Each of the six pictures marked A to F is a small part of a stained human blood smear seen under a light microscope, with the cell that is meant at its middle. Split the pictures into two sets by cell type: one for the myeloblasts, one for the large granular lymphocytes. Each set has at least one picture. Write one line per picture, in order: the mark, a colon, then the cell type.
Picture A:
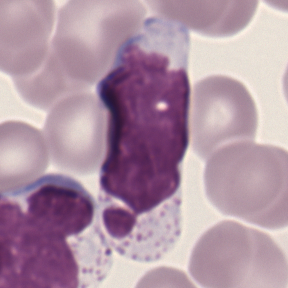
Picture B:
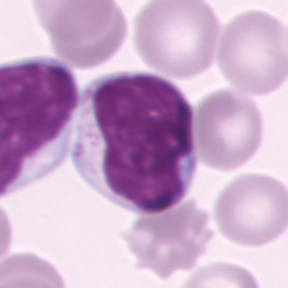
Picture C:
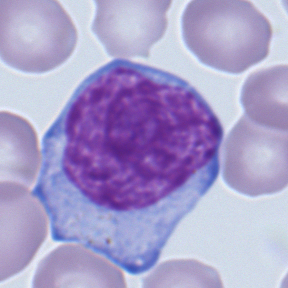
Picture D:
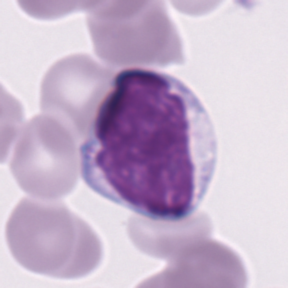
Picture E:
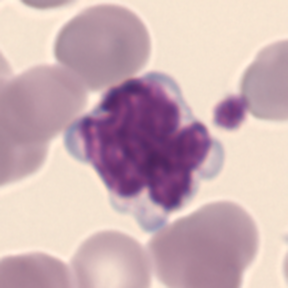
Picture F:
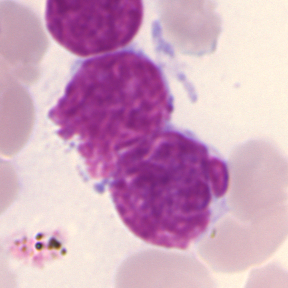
A: large granular lymphocyte
B: large granular lymphocyte
C: myeloblast
D: large granular lymphocyte
E: large granular lymphocyte
F: myeloblast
